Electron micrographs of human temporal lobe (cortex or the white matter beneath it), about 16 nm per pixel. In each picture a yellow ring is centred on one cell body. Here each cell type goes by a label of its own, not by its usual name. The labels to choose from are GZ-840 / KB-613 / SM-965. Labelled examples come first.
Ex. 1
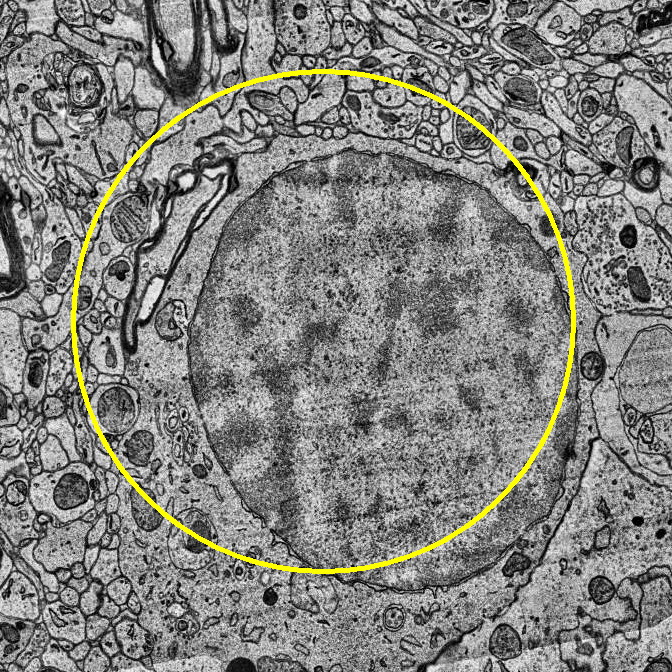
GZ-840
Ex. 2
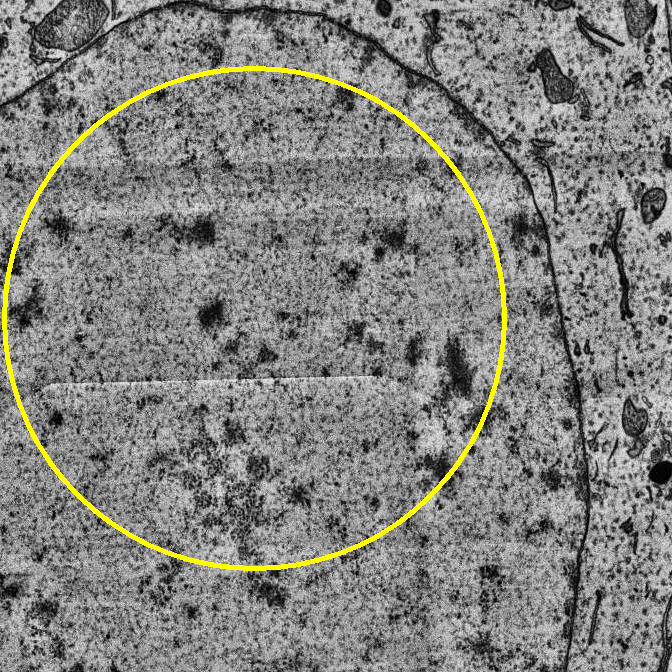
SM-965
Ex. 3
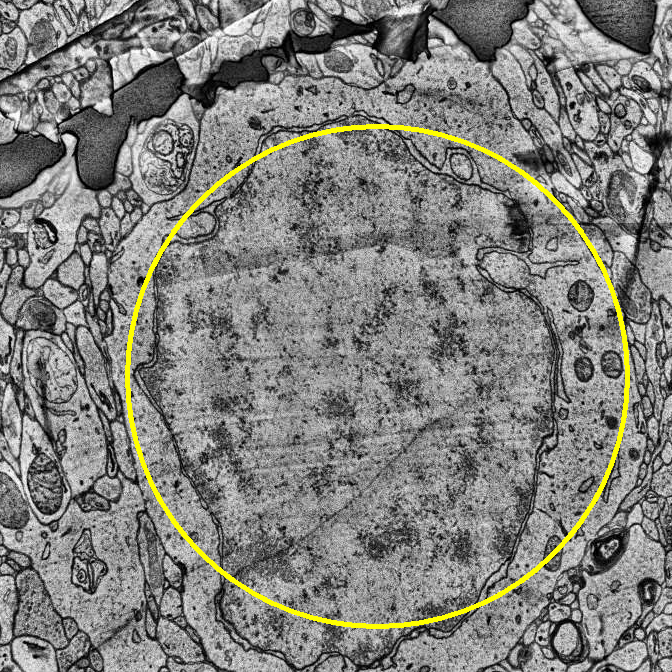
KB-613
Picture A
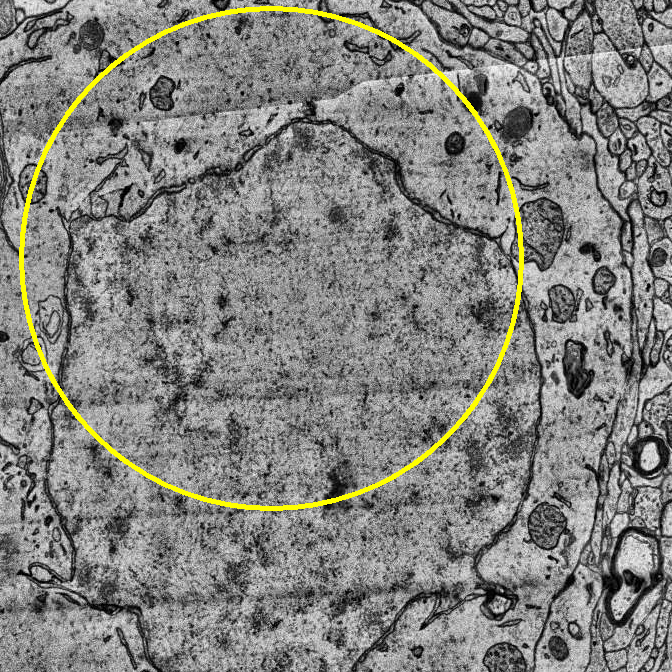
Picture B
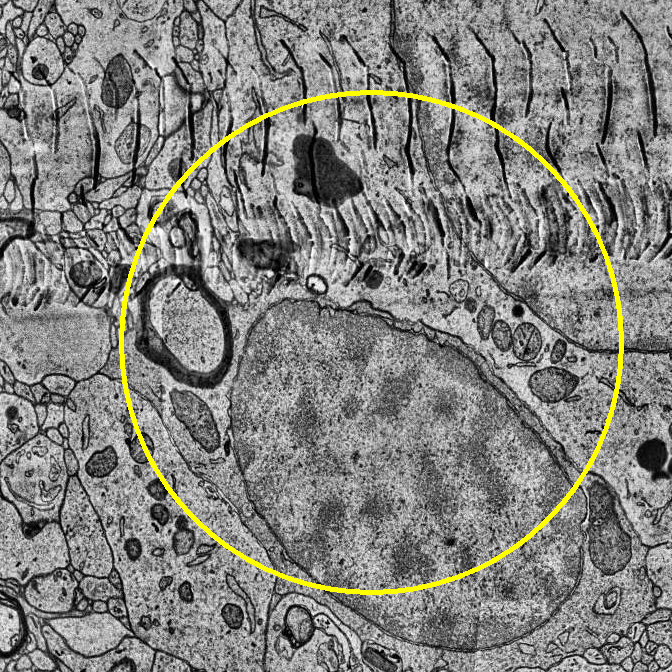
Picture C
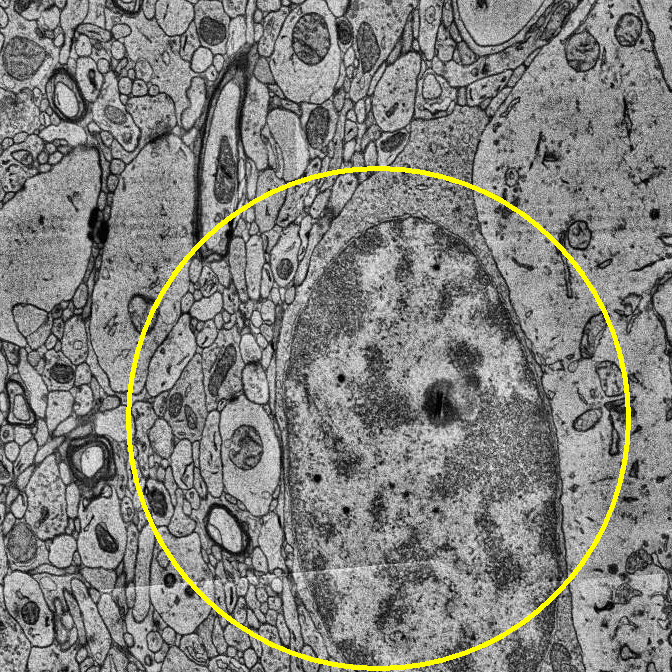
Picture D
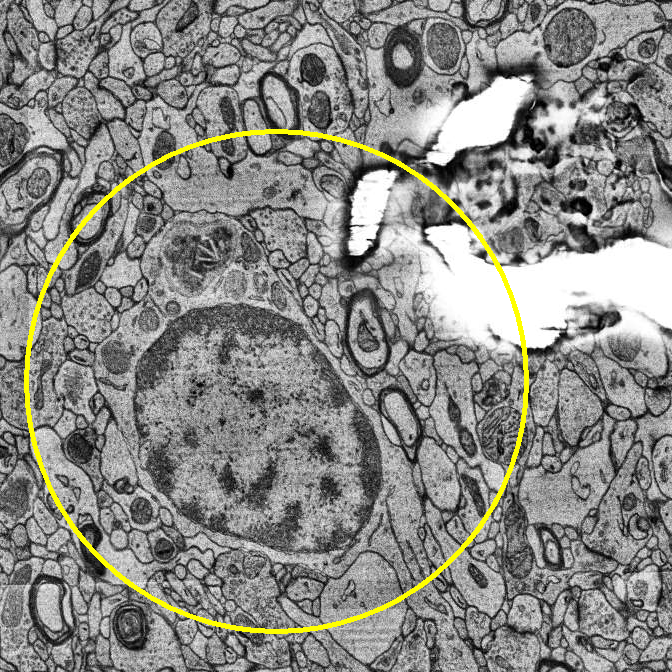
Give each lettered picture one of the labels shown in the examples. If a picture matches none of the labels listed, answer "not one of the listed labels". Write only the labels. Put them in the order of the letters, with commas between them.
SM-965, GZ-840, GZ-840, not one of the listed labels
